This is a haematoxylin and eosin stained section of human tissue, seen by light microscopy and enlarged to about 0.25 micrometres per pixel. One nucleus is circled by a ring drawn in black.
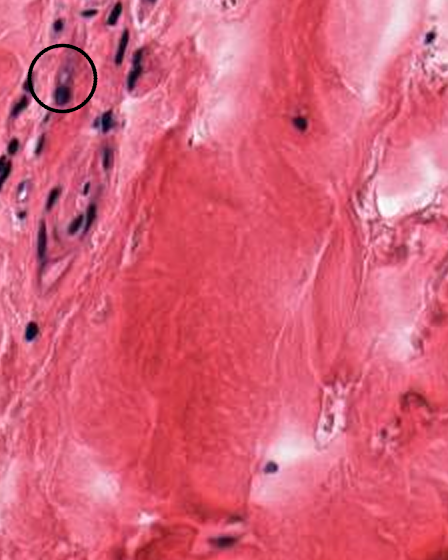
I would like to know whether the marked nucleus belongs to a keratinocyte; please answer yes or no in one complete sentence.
No, the marked nucleus is carried by a supporting cell rather than by a keratinocyte.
